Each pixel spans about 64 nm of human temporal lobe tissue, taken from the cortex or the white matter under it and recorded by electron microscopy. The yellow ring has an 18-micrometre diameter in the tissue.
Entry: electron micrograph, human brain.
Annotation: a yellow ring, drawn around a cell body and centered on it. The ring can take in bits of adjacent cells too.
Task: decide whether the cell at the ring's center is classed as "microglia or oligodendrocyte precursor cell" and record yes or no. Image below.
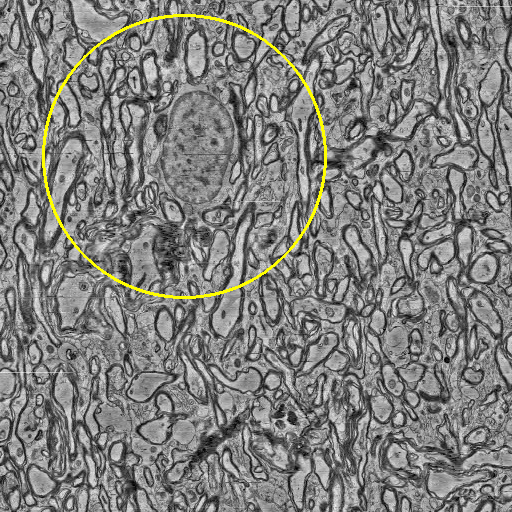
no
